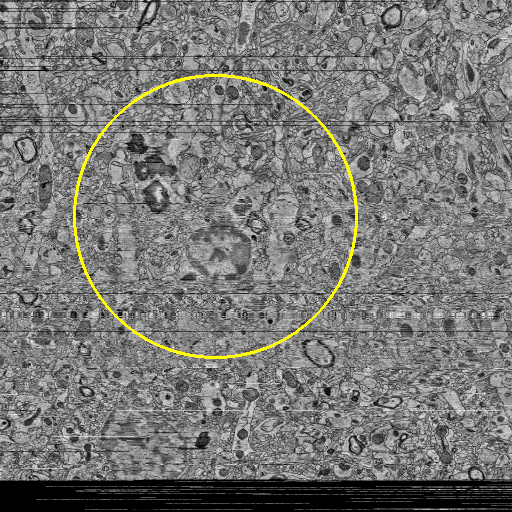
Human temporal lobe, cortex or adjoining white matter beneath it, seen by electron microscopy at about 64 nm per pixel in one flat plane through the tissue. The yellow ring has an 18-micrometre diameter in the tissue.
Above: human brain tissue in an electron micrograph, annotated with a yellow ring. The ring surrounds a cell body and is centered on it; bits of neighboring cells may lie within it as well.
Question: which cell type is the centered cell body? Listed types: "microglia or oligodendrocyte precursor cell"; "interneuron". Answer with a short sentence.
The centered cell body is a microglial cell or oligodendrocyte precursor cell.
